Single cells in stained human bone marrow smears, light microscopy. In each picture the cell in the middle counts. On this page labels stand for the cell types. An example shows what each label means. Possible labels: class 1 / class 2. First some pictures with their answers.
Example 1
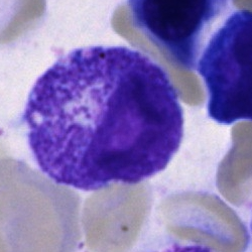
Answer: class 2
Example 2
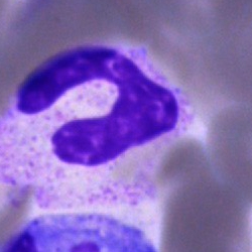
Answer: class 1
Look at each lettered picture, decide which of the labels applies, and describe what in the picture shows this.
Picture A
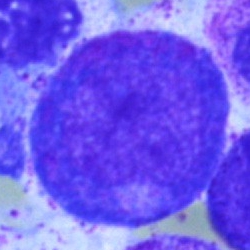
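class 2. Evidence: The chromatin is finely dispersed rather than coarsely clumped.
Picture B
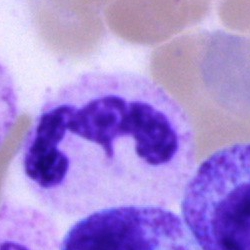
class 1. Evidence: The nucleus is curved into a horseshoe shape that opens downward.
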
